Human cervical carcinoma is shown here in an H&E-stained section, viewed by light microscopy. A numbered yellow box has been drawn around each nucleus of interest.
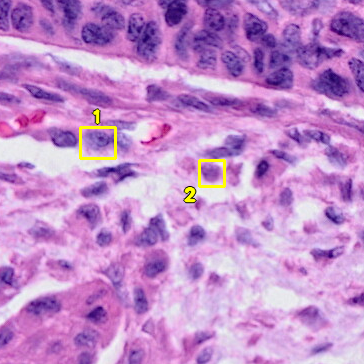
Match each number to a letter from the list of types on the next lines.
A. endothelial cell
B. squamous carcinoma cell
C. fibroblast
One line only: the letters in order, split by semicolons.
A; C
